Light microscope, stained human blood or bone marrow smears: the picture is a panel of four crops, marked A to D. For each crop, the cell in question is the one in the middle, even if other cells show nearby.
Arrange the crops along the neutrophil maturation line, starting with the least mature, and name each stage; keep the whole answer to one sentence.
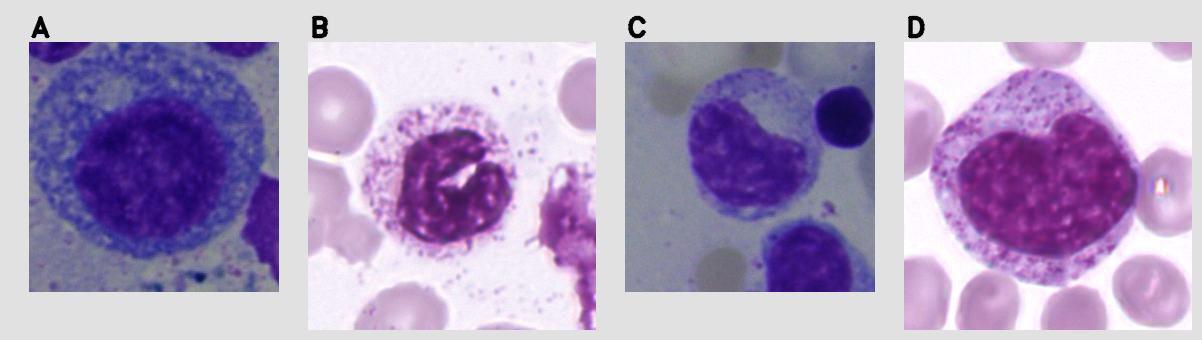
Beginning with the least mature, the order is crop A (a promyelocyte), crop D (a myelocyte), crop C (a metamyelocyte) and crop B (a band neutrophil).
